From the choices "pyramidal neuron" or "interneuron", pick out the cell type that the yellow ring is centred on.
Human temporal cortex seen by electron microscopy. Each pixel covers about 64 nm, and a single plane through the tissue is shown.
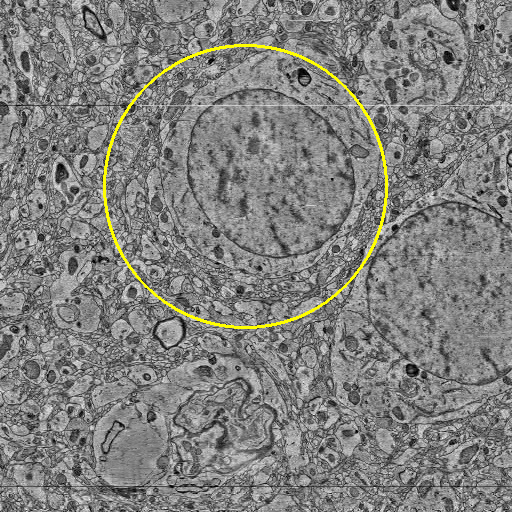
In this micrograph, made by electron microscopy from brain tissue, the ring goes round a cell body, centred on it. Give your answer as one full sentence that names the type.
The yellow ring is centred on a pyramidal neuron, whose cell body it encircles in the picture.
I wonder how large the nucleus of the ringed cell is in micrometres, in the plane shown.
In this plane, the nucleus of the cell at the centre of the ring is about 11 micrometres across.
